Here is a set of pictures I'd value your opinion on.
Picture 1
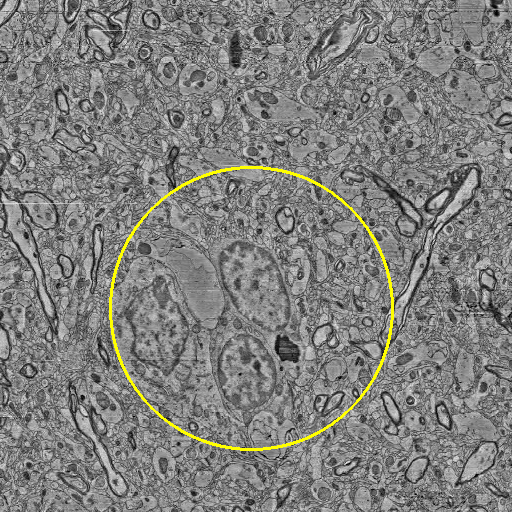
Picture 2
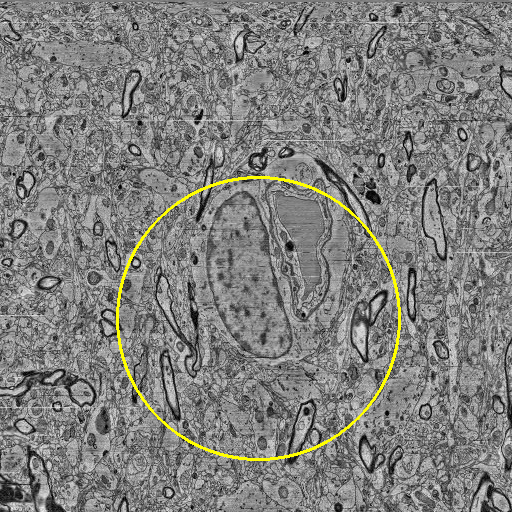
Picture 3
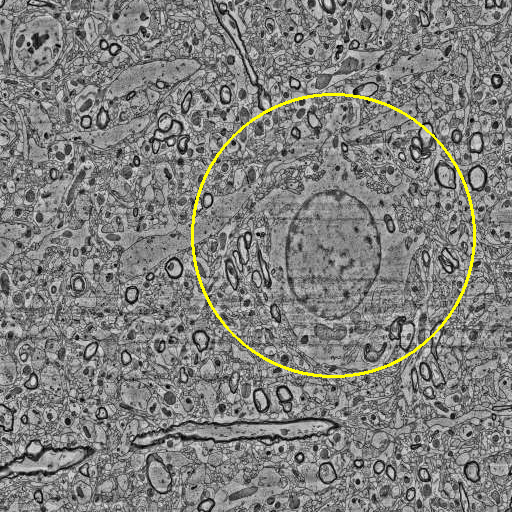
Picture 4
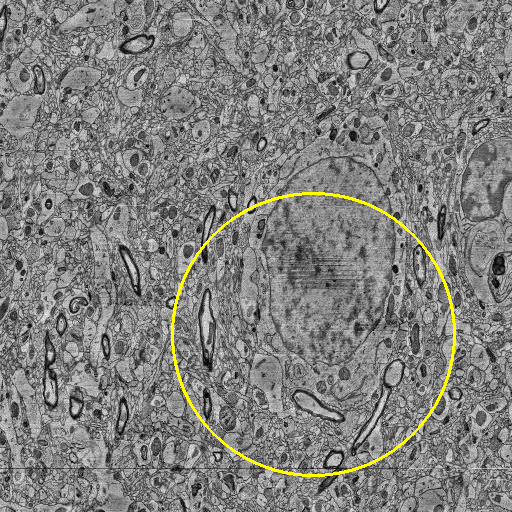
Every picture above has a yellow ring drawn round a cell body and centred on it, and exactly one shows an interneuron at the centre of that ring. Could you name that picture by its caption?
Picture 4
